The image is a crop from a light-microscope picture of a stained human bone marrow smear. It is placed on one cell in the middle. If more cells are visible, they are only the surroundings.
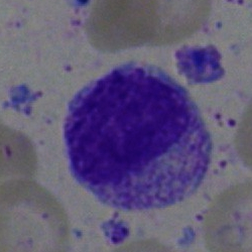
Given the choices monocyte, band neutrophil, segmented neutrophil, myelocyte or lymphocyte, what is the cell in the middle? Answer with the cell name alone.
myelocyte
